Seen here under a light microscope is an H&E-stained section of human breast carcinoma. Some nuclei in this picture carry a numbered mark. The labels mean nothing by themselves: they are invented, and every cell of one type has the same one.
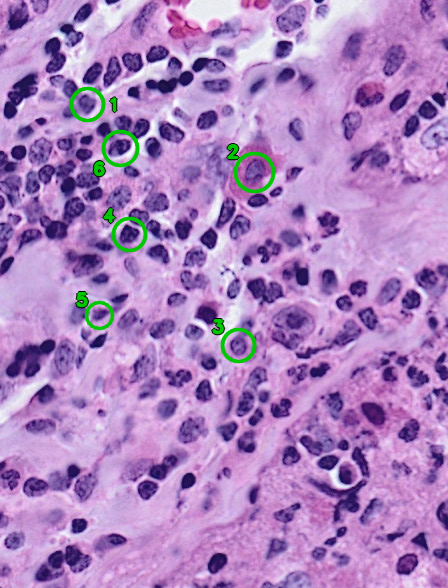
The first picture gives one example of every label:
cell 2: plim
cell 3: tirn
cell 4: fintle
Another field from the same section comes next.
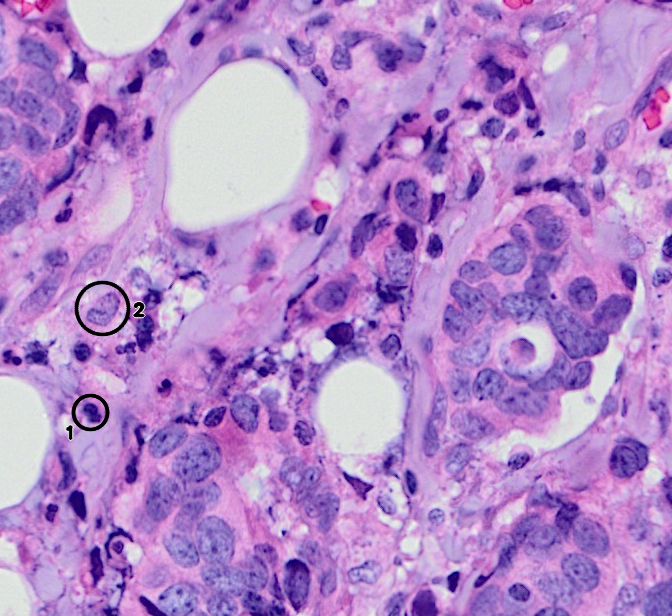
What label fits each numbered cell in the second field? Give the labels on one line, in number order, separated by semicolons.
fintle; tirn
